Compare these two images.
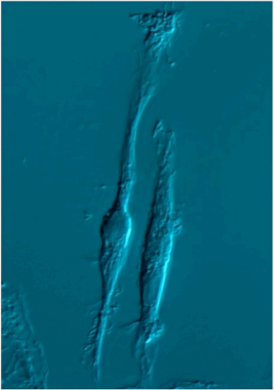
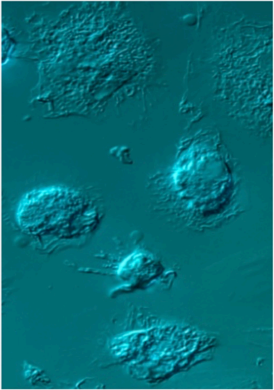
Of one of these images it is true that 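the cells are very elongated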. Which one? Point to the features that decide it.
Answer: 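First image: two long, narrow spindle-shaped cells lie parallel to each other. Second image: the cells are rounded to oval, flattened and only a few times as long as wide at most.
Hence: the first image.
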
